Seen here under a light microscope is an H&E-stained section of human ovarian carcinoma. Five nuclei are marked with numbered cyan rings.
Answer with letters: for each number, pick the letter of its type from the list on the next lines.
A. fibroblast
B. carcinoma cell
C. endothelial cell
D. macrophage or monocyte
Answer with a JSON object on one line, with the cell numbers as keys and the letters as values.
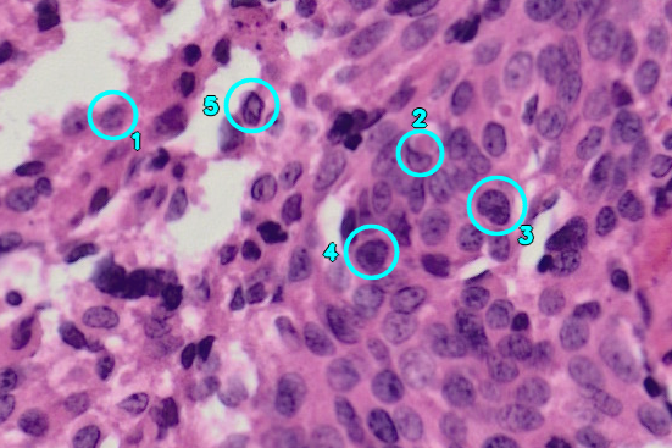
{"1": "D", "2": "B", "3": "B", "4": "B", "5": "D"}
